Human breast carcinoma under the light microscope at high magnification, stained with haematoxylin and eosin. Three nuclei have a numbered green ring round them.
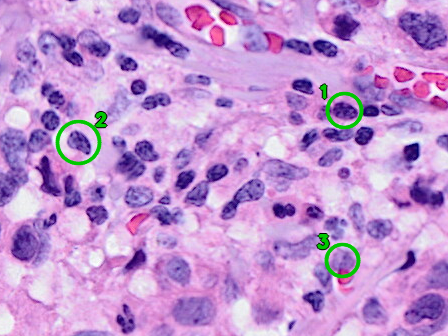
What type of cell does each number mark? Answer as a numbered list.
1. lymphocyte
2. lymphocyte
3. endothelial cell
